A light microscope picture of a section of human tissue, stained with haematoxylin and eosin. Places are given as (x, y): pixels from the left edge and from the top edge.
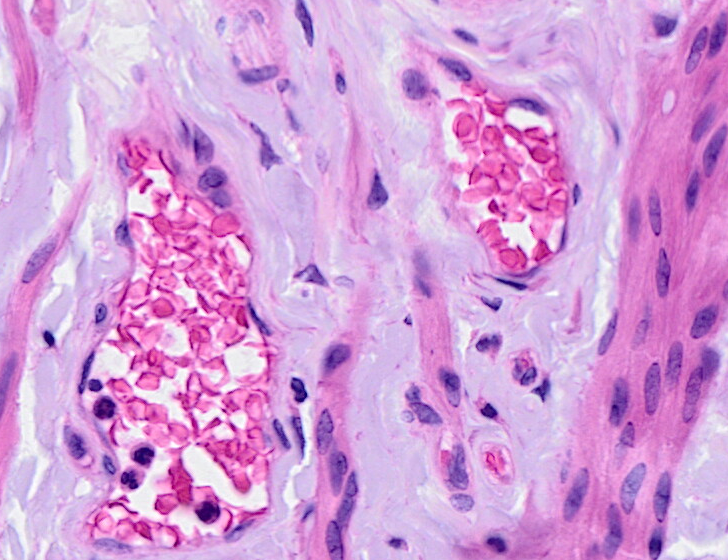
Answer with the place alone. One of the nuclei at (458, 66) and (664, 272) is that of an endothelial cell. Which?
(458, 66)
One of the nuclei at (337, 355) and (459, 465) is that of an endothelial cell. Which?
(459, 465)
